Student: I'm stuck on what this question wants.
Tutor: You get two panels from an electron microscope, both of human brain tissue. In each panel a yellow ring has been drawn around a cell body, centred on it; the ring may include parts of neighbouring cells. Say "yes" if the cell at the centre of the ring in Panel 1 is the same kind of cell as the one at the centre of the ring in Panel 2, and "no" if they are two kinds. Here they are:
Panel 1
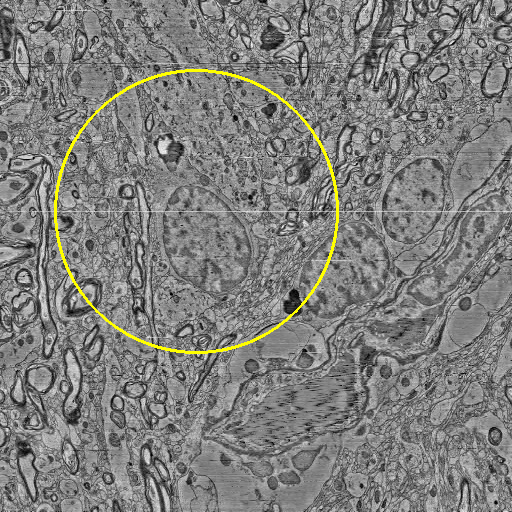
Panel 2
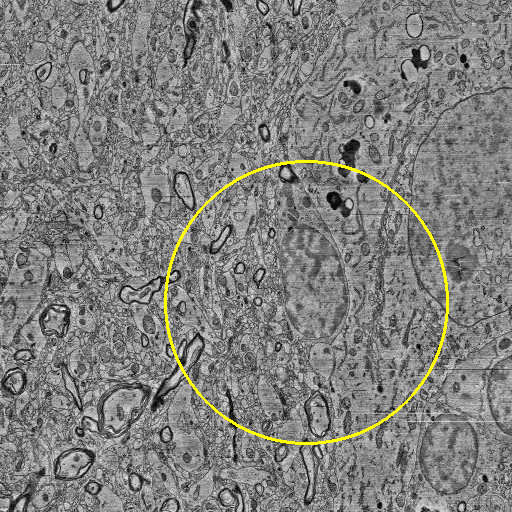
yes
